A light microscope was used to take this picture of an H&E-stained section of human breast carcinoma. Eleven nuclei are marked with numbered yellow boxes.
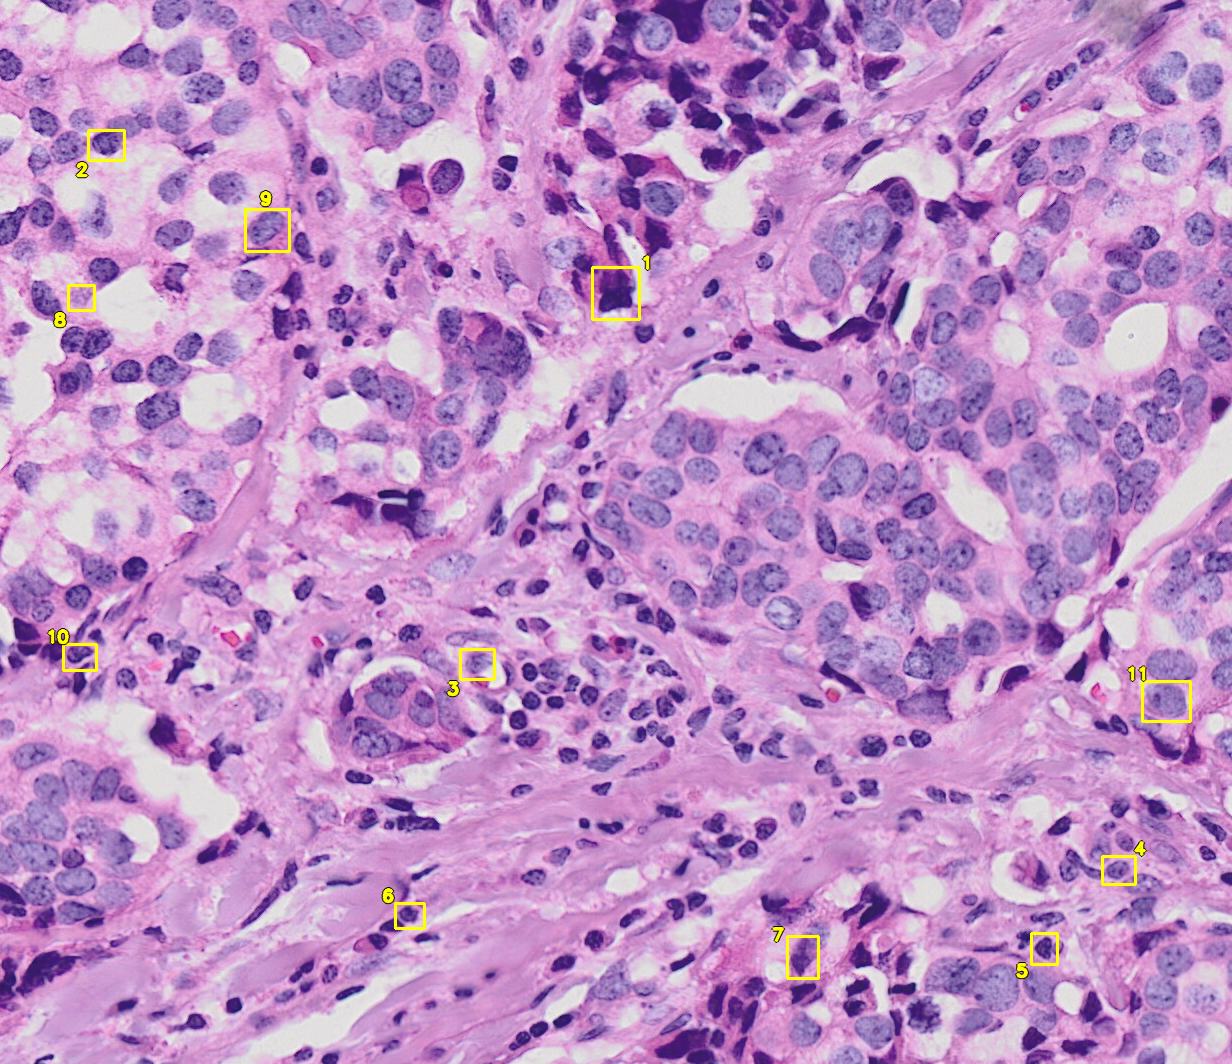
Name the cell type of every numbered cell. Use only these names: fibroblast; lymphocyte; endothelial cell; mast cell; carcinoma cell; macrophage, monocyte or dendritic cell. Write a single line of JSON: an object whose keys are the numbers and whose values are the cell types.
{"1": "carcinoma cell", "2": "carcinoma cell", "3": "endothelial cell", "4": "lymphocyte", "5": "lymphocyte", "6": "lymphocyte", "7": "carcinoma cell", "8": "carcinoma cell", "9": "carcinoma cell", "10": "lymphocyte", "11": "carcinoma cell"}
